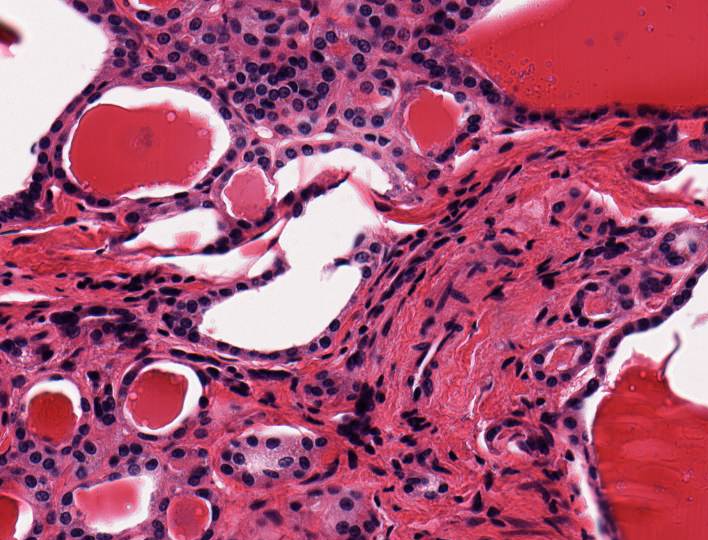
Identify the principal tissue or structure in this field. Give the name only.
thyroid follicle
